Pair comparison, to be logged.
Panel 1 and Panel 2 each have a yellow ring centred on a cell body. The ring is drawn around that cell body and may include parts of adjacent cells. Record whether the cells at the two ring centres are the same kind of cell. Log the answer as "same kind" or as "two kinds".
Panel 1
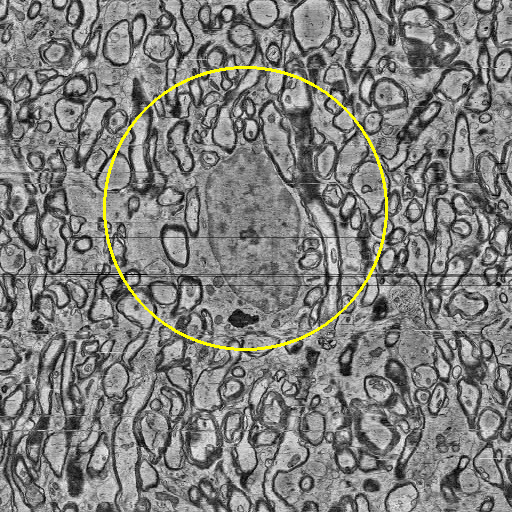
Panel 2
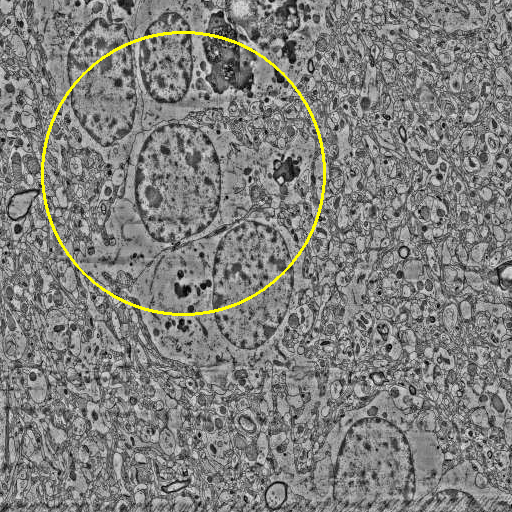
two kinds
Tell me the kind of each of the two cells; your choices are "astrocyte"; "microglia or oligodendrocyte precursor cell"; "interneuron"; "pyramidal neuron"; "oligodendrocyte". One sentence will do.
The ringed cell is an oligodendrocyte in the first picture and an astrocyte in the second picture.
